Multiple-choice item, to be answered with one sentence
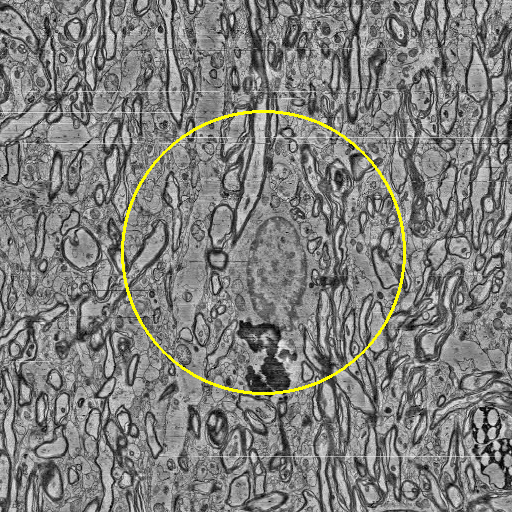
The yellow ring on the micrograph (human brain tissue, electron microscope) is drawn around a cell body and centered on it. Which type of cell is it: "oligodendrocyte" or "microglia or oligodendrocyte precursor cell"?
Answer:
The ring is centered on an oligodendrocyte.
